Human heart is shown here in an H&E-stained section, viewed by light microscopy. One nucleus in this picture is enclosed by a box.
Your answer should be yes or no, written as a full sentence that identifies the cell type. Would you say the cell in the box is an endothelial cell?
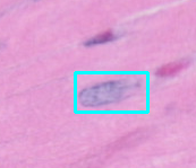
No, scored properly, the cell in the box is a cardiomyocyte rather than an endothelial cell.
